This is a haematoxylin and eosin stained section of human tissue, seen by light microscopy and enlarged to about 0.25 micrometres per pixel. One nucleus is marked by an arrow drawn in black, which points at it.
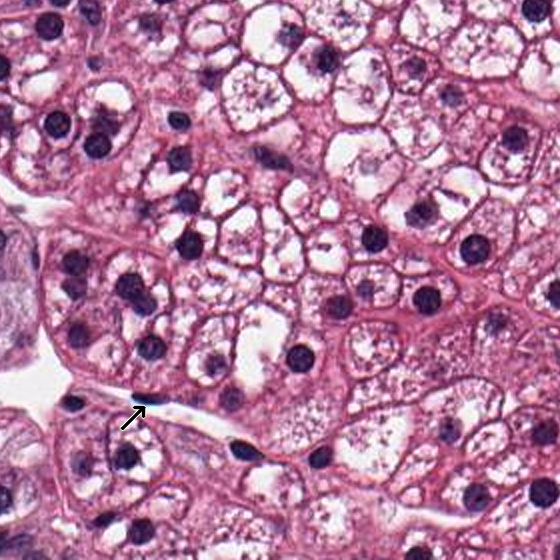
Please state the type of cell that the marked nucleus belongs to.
endothelial cell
